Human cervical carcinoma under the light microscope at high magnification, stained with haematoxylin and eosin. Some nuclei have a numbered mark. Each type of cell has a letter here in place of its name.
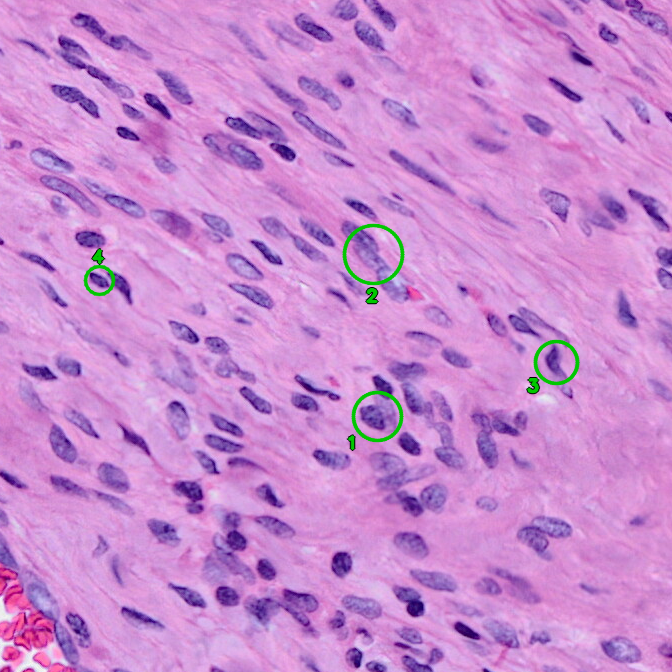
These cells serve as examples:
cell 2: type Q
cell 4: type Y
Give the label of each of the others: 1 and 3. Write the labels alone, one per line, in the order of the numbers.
type Y
type Y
